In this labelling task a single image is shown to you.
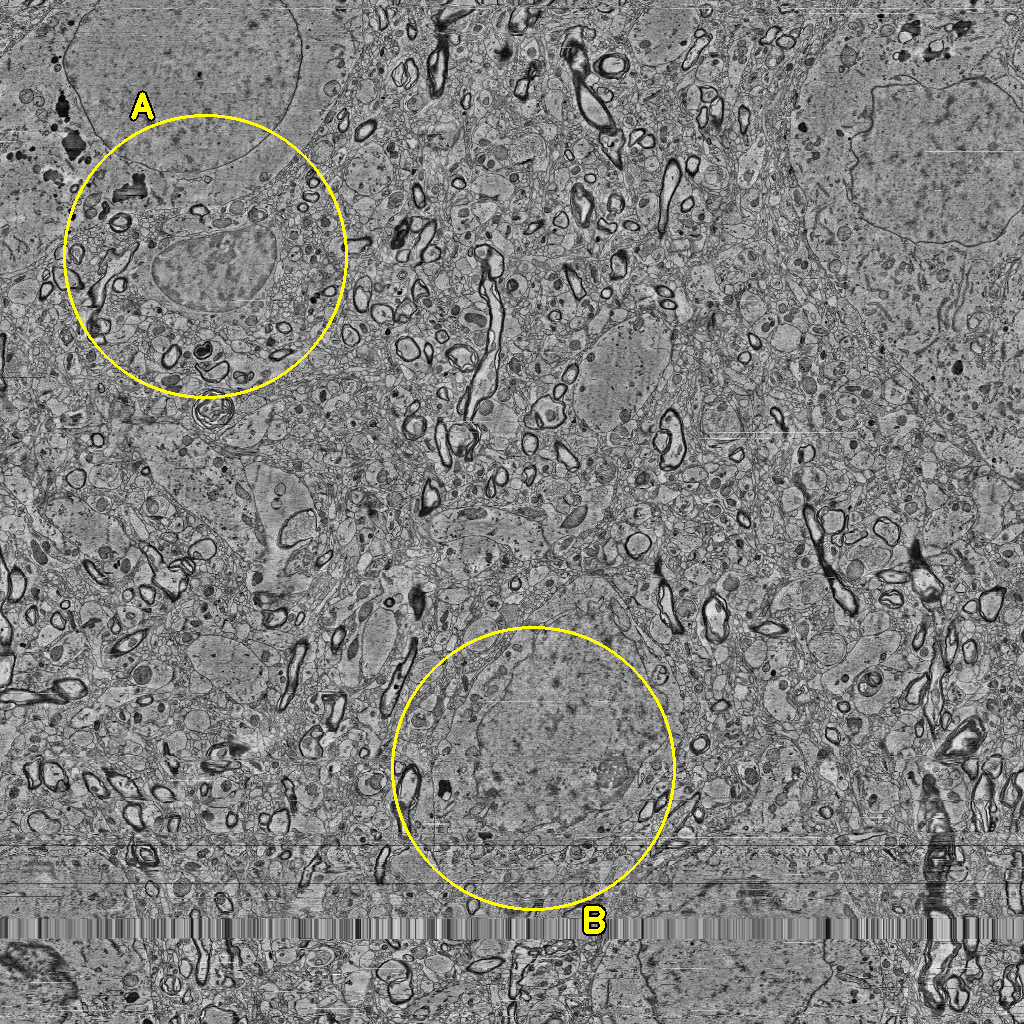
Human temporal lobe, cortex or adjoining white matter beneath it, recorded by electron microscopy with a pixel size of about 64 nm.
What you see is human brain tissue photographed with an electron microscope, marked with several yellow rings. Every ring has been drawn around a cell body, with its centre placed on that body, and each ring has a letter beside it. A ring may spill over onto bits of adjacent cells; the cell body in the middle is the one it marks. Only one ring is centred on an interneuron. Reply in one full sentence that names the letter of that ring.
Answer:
The ring centred on the cell asked for is the one marked B.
